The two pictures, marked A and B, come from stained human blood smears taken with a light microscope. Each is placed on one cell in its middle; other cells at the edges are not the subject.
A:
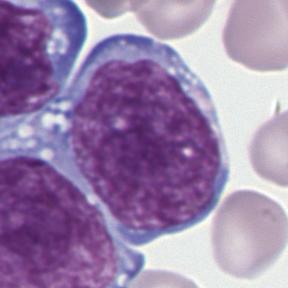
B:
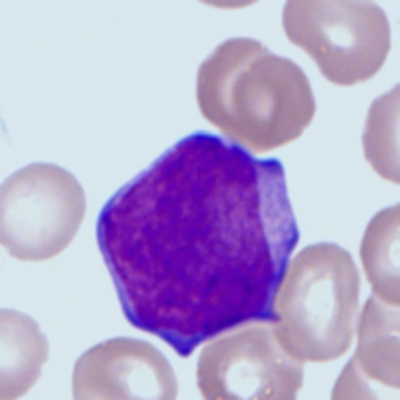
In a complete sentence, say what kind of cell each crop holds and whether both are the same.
Yes, the two crops show blasts, one cell each.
